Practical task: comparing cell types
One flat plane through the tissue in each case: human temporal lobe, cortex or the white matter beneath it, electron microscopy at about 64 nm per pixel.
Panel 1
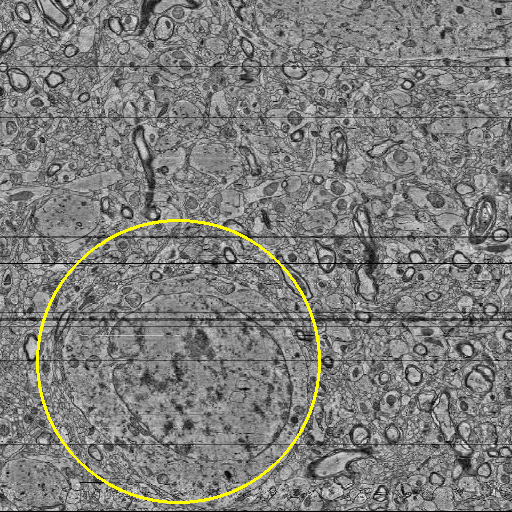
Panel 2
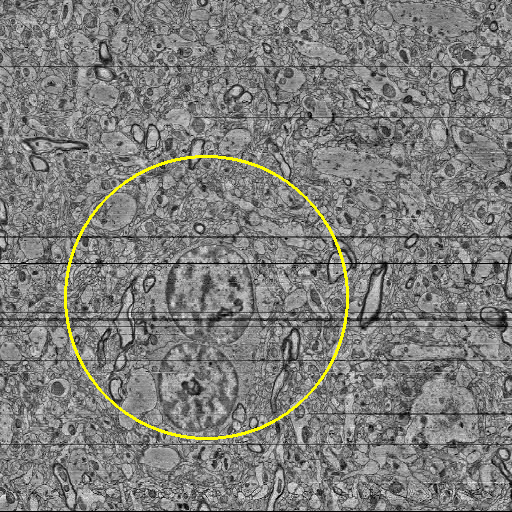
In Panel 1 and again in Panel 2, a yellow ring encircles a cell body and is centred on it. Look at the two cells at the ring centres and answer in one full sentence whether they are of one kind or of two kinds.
The two cells sitting at the ring centres of Panels 1 and 2 are of two kinds.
